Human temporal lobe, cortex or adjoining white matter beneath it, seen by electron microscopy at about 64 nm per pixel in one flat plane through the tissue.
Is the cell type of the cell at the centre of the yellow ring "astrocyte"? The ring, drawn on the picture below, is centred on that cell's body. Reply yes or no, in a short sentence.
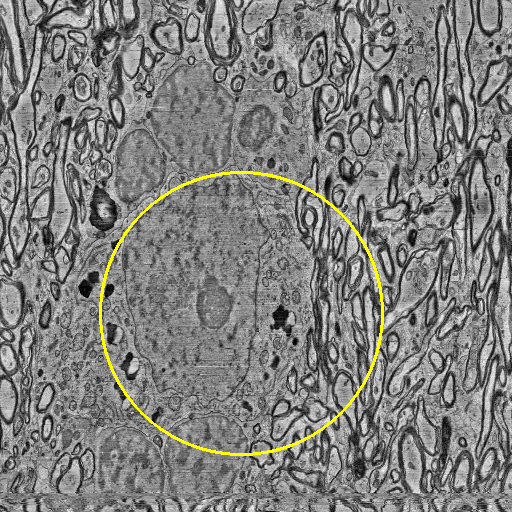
No, its cell type is another.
